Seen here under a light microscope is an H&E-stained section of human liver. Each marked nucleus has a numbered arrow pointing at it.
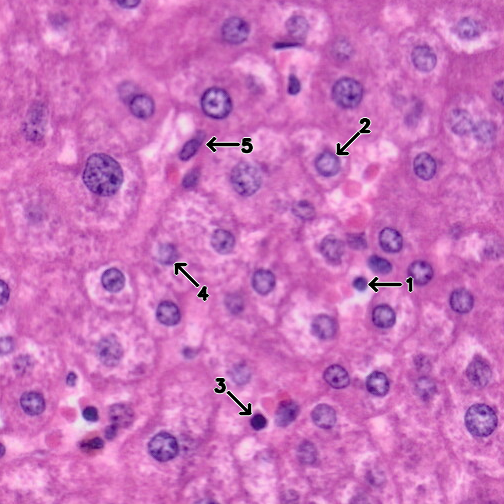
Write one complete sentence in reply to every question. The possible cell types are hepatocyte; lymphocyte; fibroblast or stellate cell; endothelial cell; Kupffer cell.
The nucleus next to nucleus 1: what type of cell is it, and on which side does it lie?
It is a fibroblast or stellate cell, whose nucleus lies above and to the right of nucleus 1.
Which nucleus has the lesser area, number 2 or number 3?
Nucleus 3 covers less area, with nucleus 2 about 2.5 times as large.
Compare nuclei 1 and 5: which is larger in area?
Of the two, number 5 is bigger and takes up about 2 times the area of number 1.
